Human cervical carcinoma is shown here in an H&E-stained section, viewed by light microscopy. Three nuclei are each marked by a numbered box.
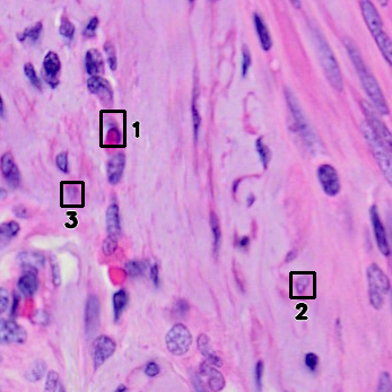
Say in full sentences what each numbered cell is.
Cell 1 is an endothelial cell. Cells 2 and 3 are smooth muscle cells.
